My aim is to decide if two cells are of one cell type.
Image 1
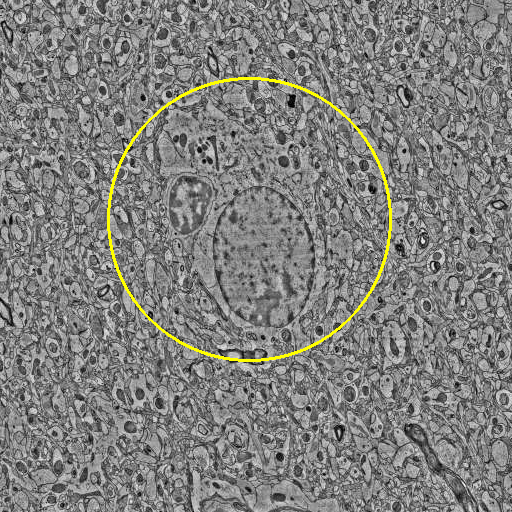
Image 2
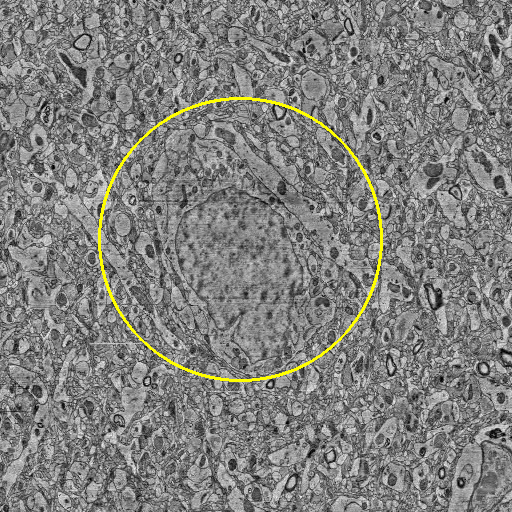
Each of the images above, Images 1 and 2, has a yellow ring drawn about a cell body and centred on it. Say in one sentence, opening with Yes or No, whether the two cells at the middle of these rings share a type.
No, in Images 1 and 2 the cells at the middle of the rings fall into two types.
